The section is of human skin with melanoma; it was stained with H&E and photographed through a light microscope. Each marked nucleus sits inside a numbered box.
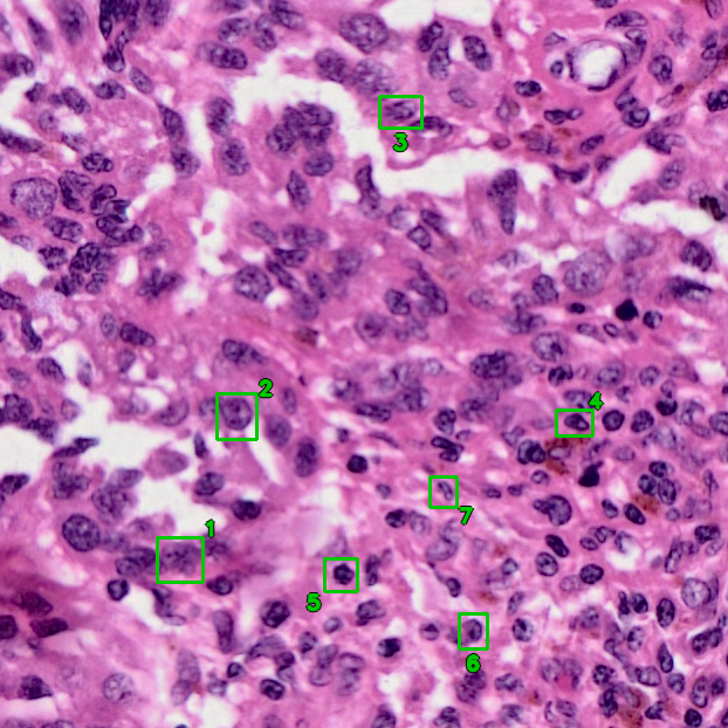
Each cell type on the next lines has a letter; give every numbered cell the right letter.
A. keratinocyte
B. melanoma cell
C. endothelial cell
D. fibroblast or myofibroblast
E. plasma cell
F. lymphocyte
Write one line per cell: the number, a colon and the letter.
1: B
2: B
3: B
4: F
5: F
6: F
7: F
